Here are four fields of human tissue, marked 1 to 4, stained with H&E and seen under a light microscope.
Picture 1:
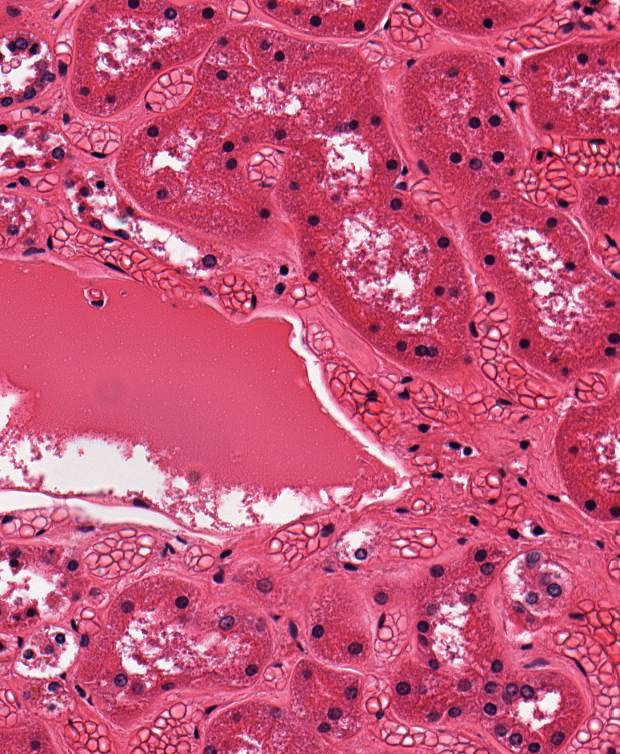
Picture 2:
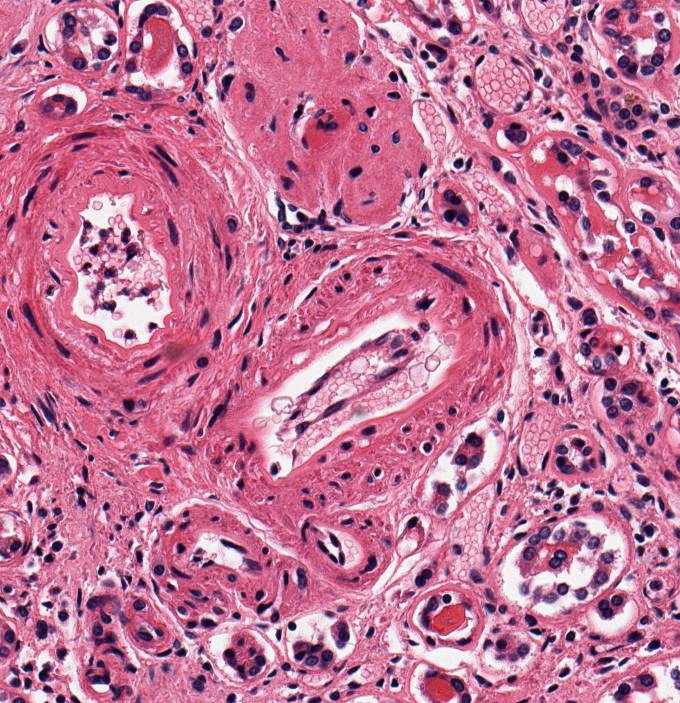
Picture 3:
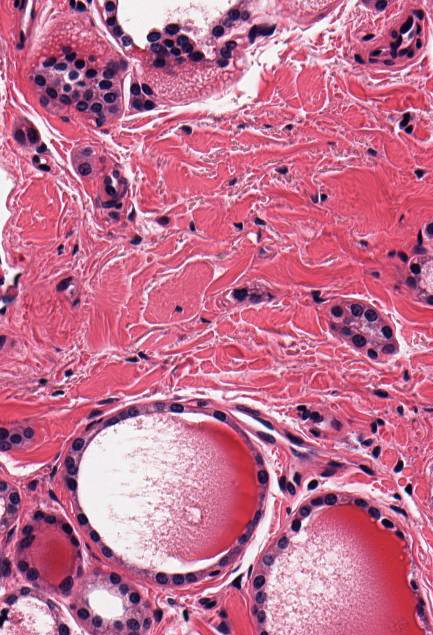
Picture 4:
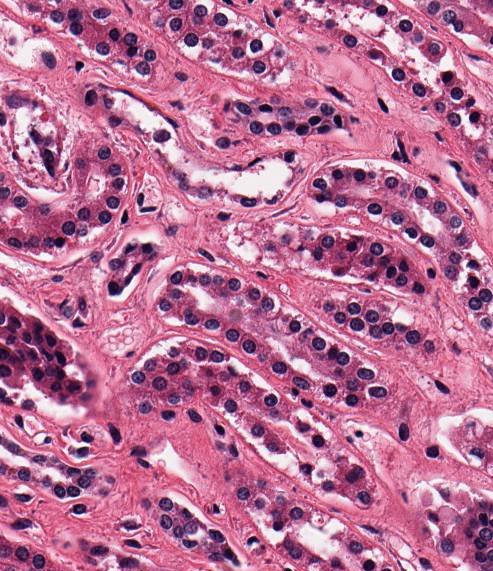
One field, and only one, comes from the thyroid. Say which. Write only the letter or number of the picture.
3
